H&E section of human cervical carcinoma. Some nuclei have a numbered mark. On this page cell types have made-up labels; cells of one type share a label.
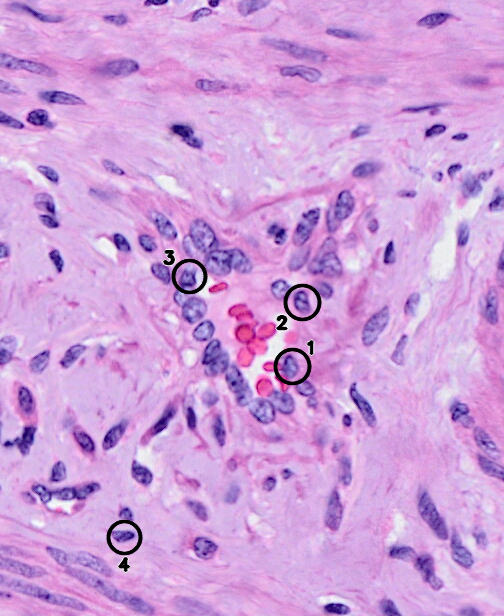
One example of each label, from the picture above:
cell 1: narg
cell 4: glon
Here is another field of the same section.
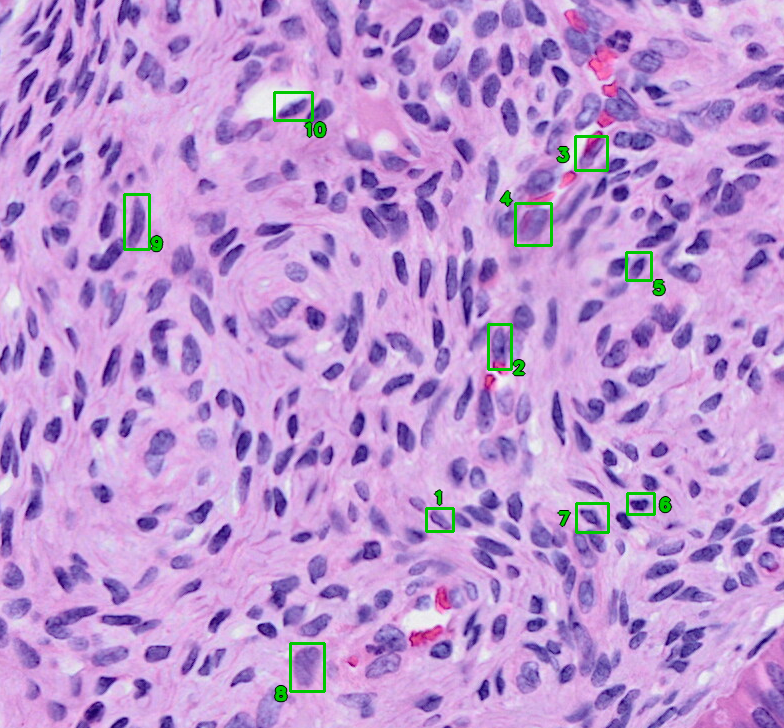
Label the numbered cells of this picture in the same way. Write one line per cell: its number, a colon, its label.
1: glon
2: narg
3: narg
4: narg
5: glon
6: glon
7: glon
8: glon
9: glon
10: narg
